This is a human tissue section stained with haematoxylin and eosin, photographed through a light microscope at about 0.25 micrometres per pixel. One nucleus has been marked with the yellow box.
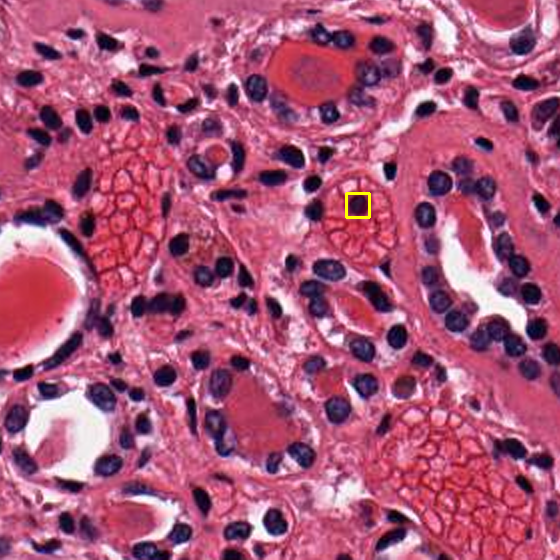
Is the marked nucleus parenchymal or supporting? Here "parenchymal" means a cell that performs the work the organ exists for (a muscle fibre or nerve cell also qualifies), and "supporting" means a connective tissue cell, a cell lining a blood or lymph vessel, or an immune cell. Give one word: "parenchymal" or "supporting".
supporting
